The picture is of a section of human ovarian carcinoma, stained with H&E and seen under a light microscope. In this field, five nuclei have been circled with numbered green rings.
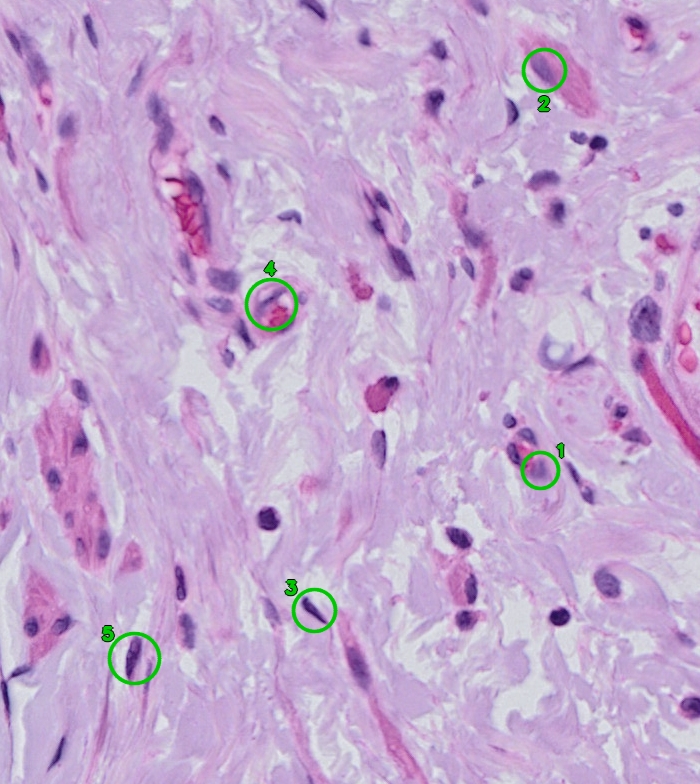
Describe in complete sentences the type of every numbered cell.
Cells 1 and 4 are endothelial cells. Cell 2 is a smooth muscle cell. Cells 3 and 5 are fibroblasts.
